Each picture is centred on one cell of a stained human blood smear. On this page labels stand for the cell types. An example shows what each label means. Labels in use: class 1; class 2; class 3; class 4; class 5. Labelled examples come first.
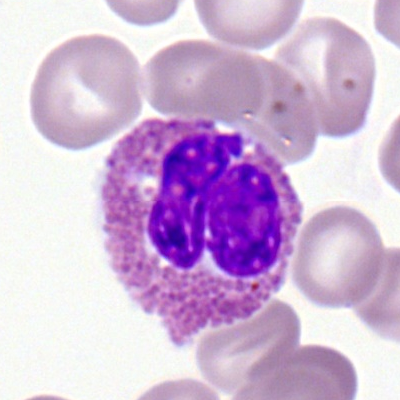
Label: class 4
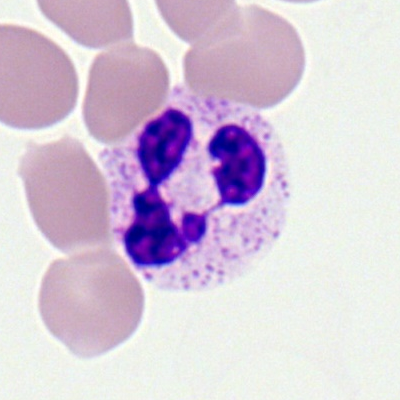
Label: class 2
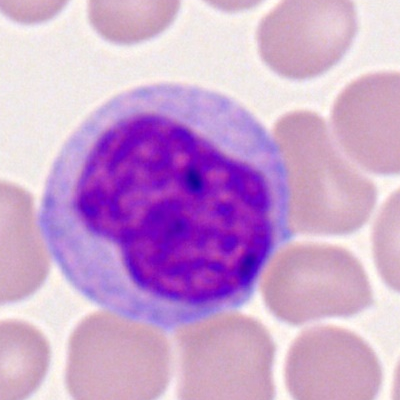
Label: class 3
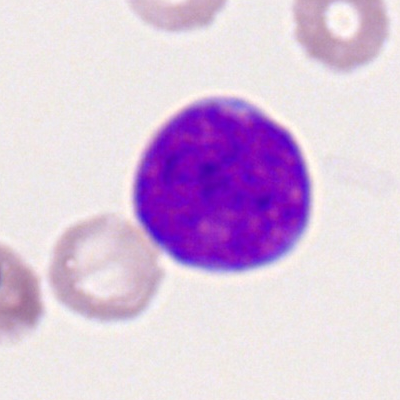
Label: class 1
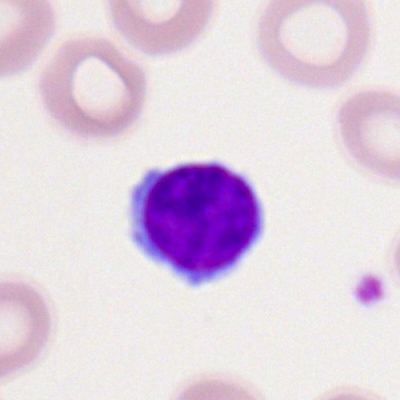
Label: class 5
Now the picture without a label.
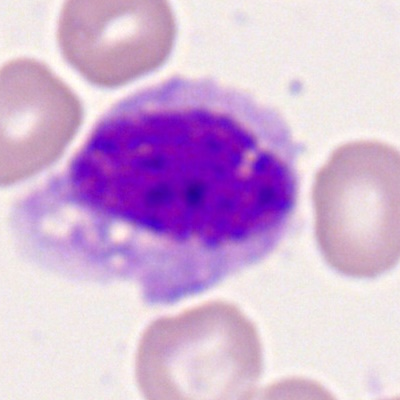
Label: class 3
